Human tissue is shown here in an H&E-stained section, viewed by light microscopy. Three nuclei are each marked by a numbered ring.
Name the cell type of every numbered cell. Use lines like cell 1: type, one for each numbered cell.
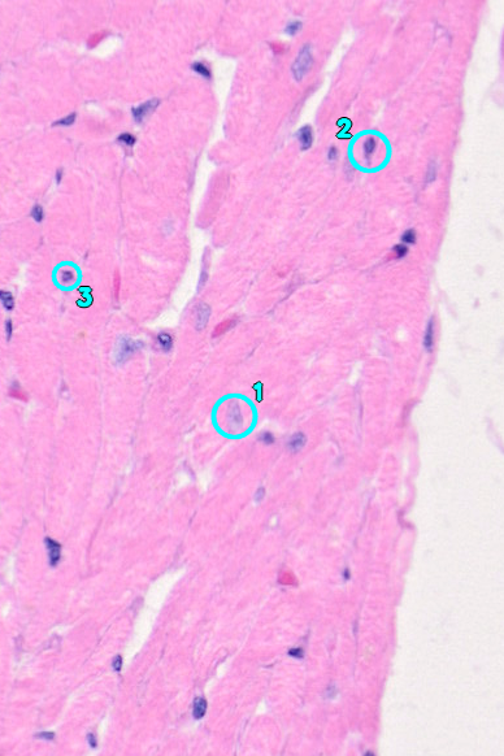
cell 1: cardiomyocyte
cell 2: endothelial cell
cell 3: endothelial cell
